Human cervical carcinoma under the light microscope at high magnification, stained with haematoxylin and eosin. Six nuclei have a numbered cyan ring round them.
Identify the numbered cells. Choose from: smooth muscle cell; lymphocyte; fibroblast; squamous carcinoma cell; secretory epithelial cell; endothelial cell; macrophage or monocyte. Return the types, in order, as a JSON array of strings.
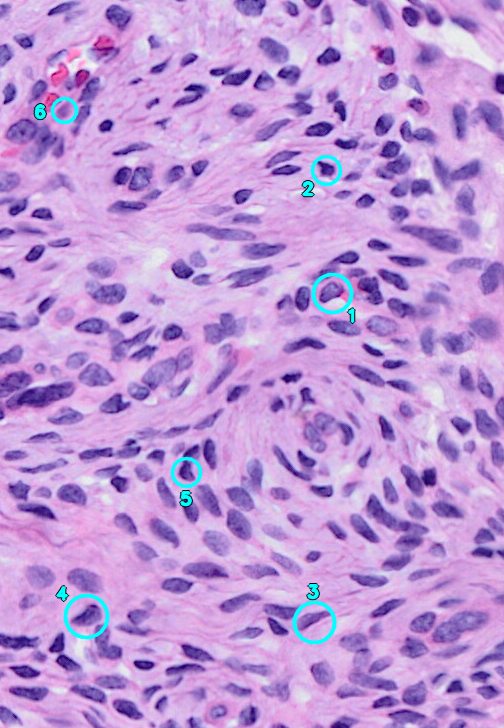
["endothelial cell", "fibroblast", "fibroblast", "fibroblast", "fibroblast", "endothelial cell"]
